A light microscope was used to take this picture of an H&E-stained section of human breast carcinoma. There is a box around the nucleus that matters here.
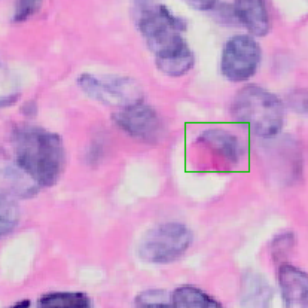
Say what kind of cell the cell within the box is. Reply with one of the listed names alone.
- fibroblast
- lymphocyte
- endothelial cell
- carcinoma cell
endothelial cell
